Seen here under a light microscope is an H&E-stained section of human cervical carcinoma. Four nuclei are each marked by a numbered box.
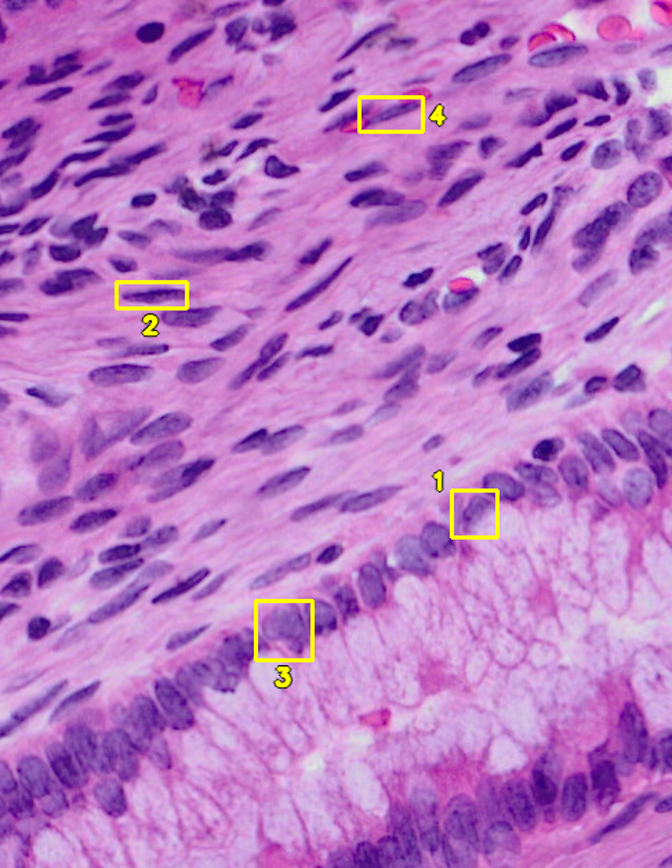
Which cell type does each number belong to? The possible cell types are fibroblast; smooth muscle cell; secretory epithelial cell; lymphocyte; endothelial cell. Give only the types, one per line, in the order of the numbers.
secretory epithelial cell
fibroblast
secretory epithelial cell
endothelial cell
